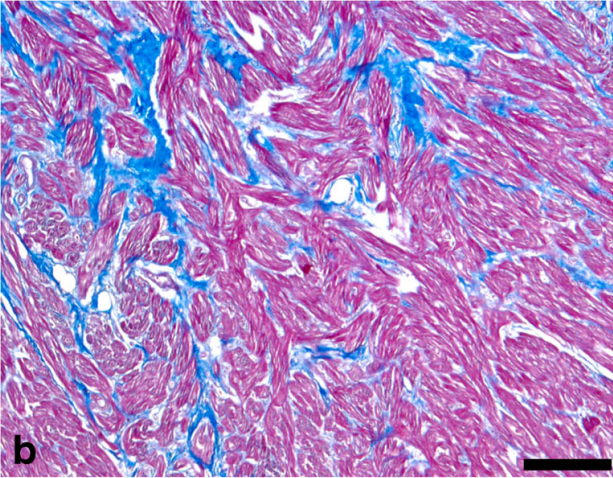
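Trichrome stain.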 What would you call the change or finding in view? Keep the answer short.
Myocyte bundle disarray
